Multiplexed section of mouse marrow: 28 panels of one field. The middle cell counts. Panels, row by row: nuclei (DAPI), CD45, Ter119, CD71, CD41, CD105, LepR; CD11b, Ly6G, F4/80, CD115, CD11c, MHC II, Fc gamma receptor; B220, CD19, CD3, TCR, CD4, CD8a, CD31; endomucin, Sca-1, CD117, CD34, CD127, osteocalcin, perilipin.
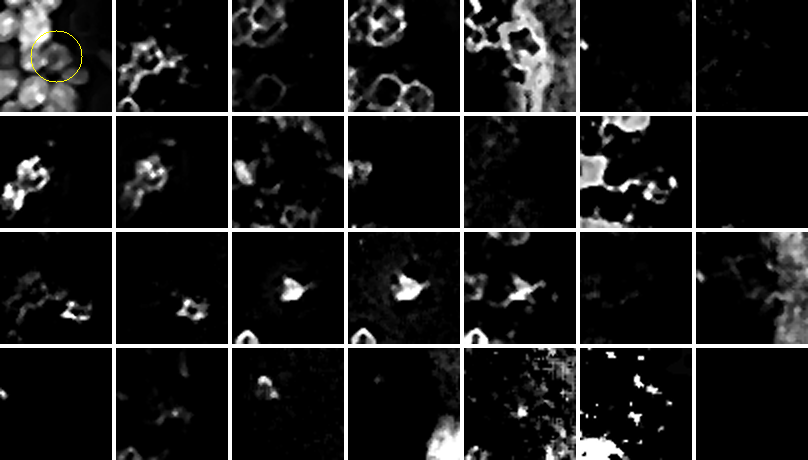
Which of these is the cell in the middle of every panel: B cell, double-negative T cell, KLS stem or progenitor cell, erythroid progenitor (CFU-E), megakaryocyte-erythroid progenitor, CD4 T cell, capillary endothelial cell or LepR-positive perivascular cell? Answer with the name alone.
CD4 T cell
